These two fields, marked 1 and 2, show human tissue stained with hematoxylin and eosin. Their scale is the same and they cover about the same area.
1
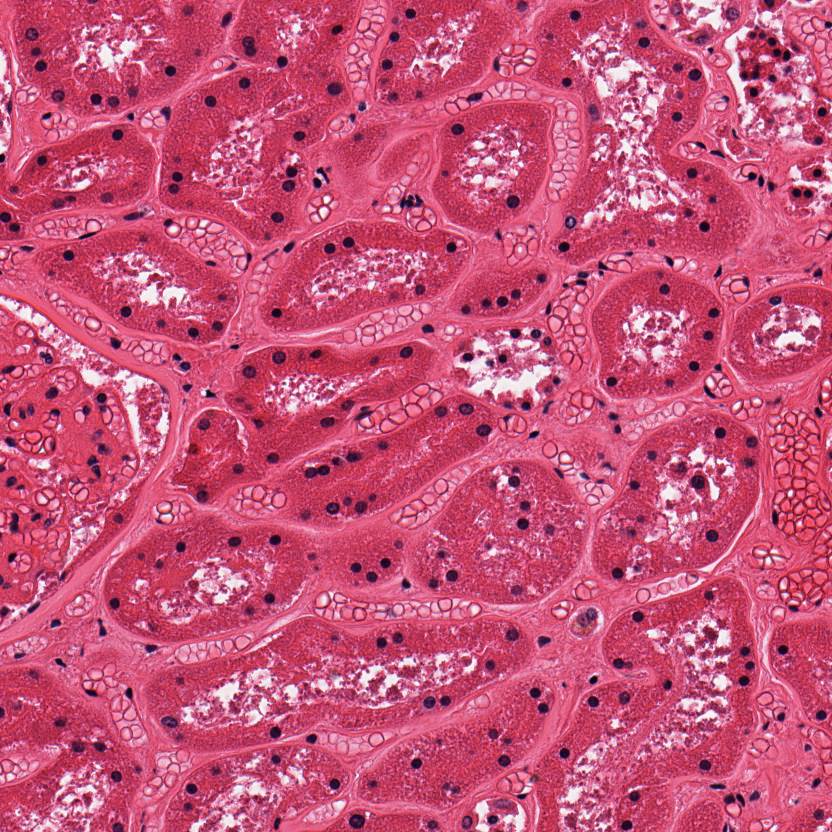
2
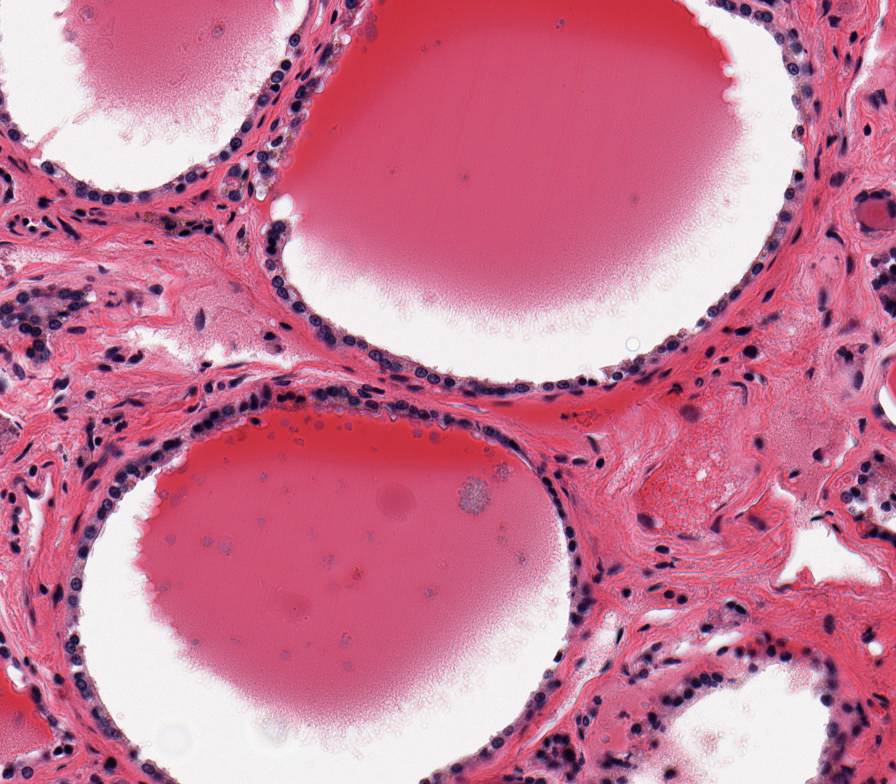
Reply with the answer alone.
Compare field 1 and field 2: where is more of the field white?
2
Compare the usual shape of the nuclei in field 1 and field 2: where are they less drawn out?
1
